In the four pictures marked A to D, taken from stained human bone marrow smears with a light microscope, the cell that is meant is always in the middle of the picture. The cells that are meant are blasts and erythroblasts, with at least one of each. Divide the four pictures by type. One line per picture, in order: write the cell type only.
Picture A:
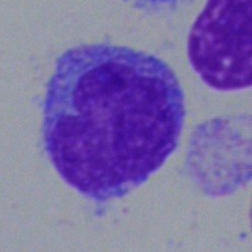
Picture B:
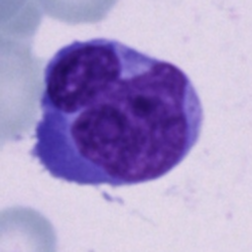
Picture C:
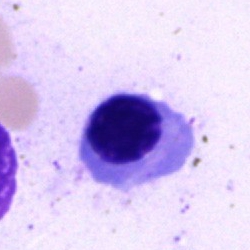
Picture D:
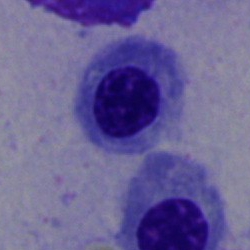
blast
blast
erythroblast
erythroblast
